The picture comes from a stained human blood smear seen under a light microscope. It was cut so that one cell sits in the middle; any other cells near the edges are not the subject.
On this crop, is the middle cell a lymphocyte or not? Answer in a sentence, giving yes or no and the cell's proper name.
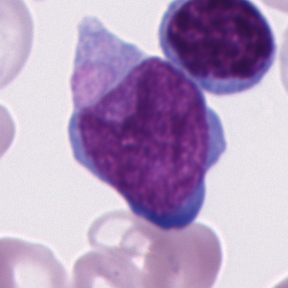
No, the central cell is not a lymphocyte; it is a blast instead.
